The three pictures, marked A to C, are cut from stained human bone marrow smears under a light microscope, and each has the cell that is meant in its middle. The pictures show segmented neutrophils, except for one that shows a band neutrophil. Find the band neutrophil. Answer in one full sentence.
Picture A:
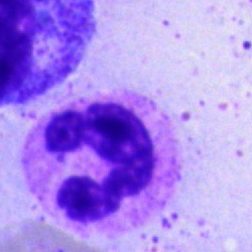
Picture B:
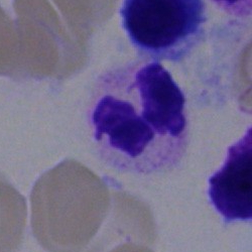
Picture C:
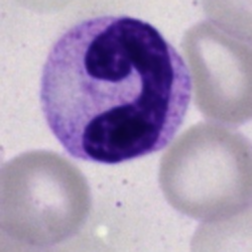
It is picture C that shows the band neutrophil.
